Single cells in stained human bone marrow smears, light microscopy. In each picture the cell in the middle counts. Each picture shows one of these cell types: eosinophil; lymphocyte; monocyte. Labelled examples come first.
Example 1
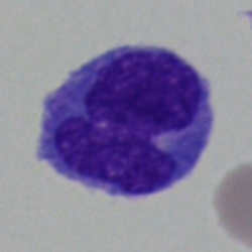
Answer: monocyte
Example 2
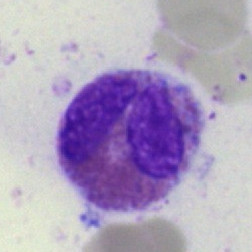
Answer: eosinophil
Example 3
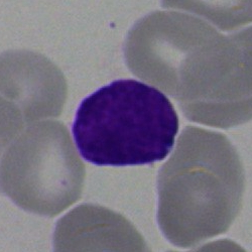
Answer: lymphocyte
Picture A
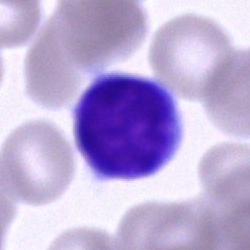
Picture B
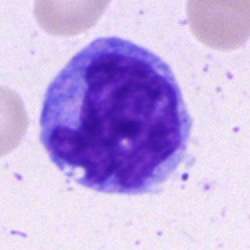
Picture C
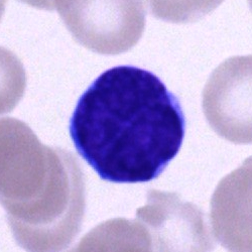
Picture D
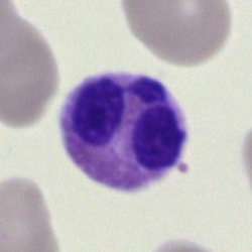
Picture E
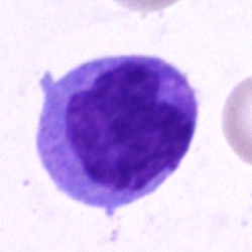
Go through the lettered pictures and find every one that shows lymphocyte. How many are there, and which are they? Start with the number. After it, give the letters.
2, namely A, C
